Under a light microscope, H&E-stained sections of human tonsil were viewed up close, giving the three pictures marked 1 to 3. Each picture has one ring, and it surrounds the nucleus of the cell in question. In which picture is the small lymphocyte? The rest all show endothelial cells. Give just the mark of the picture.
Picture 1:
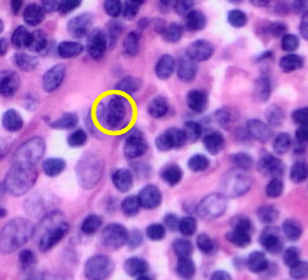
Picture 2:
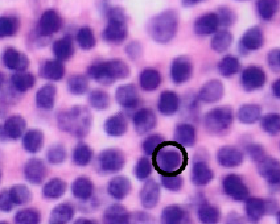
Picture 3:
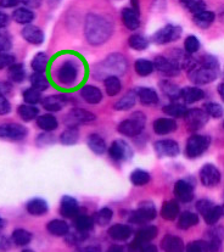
2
